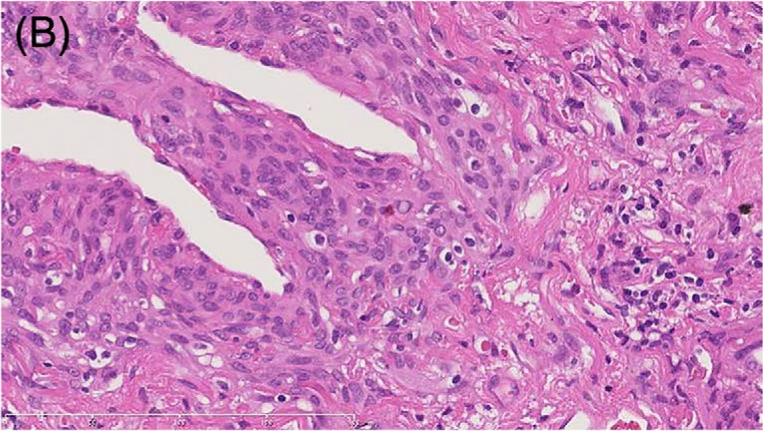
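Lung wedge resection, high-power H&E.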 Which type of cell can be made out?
Spindle‐to‐ovoid cells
